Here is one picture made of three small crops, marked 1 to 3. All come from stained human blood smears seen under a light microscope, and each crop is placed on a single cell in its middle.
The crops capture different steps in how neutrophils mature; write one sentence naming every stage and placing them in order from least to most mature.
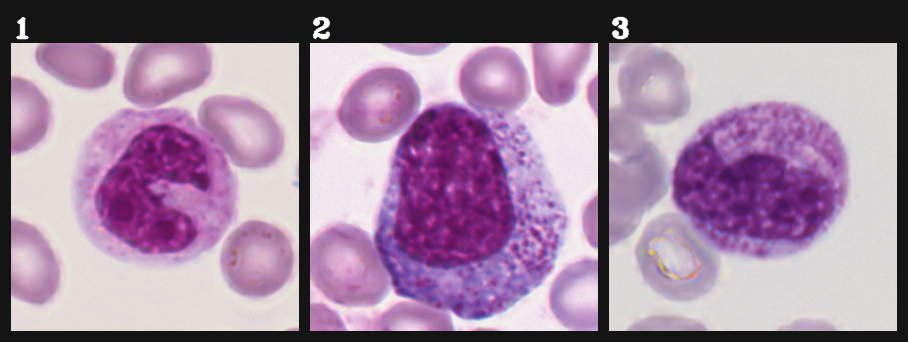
By stage of maturation, from earliest to latest, the order is crop 2 (a promyelocyte), crop 3 (a metamyelocyte) and crop 1 (a band neutrophil).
